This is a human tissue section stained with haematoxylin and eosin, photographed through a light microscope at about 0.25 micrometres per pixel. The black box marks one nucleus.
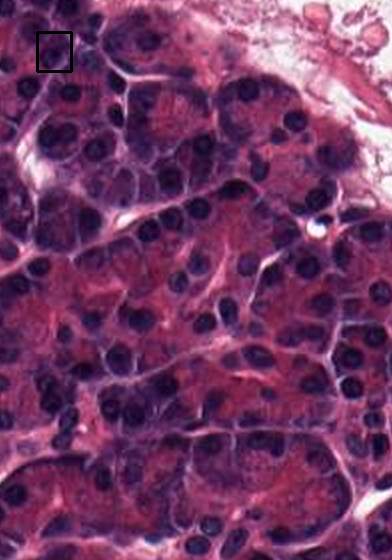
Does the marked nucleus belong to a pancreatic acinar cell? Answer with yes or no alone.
yes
